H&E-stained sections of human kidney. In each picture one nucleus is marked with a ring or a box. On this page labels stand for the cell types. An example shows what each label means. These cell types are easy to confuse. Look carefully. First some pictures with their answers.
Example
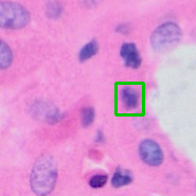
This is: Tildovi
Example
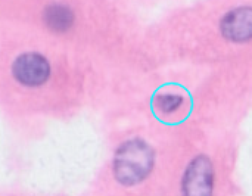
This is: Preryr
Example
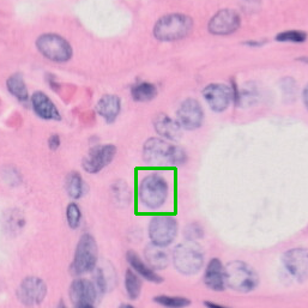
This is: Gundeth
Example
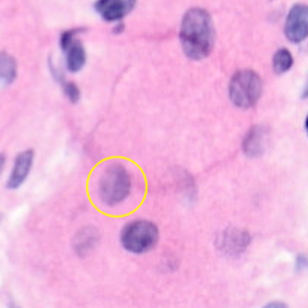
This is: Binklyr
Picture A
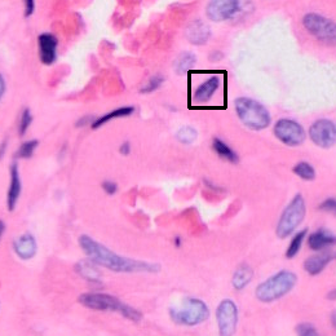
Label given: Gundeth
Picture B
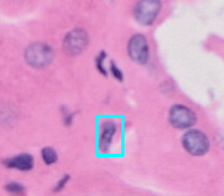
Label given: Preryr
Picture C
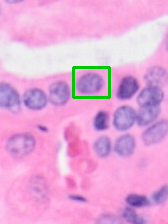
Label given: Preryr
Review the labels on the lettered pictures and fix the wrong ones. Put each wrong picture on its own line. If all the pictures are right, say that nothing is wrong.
C is labelled Preryr; correct label: Gundeth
